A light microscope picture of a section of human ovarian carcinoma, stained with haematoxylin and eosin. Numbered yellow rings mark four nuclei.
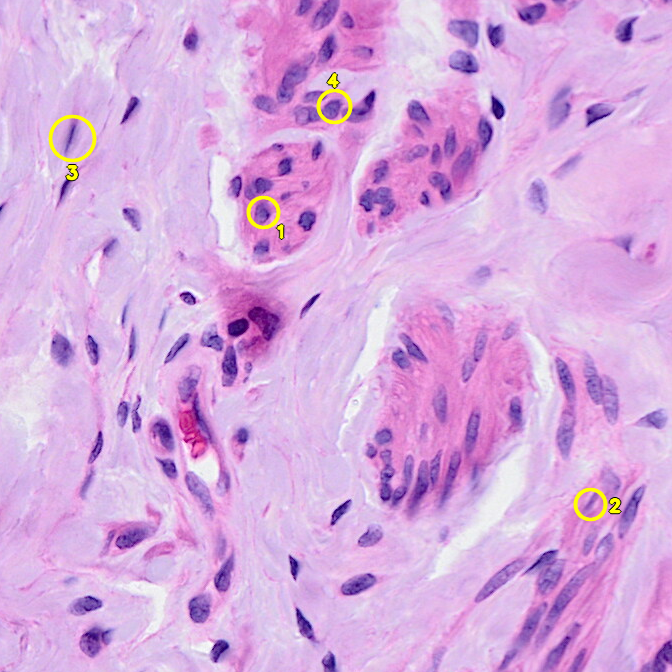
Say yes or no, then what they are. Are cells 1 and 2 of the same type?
Yes, the numbered cells 1 and 2 are both smooth muscle cells.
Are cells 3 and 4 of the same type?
No, listen: cell 3 is a fibroblast and cell 4 is a smooth muscle cell.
